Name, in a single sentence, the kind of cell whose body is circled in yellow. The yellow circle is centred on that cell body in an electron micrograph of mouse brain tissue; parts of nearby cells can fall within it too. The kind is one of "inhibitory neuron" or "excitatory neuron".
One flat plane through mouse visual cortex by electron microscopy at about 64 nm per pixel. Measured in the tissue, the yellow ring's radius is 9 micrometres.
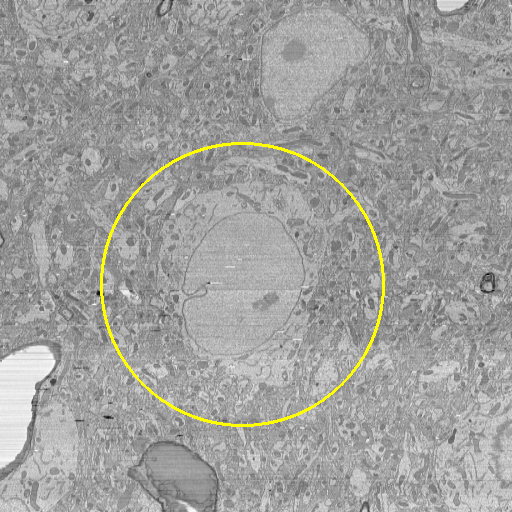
The circled cell body belongs to an excitatory neuron.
